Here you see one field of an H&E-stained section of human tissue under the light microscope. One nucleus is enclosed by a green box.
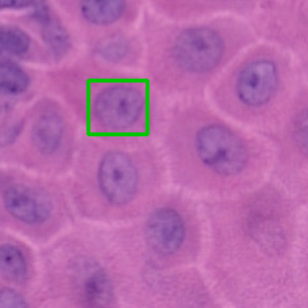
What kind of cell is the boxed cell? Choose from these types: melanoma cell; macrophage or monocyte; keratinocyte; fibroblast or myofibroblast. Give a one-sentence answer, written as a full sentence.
The cell type of the boxed cell is that of a keratinocyte.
